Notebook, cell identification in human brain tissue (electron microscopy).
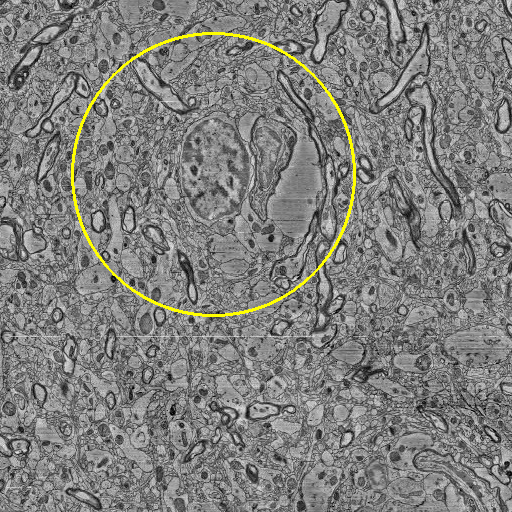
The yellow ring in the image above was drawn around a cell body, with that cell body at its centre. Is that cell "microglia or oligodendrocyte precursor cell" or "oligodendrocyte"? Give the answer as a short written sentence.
The cell in the ring is an oligodendrocyte.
